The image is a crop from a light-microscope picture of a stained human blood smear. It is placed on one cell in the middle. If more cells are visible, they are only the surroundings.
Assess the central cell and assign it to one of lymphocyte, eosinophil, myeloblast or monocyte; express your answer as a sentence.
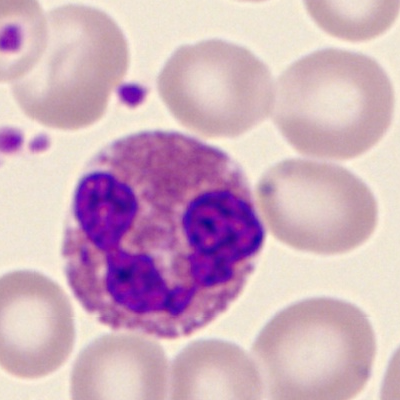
The centrally positioned cell in the crop represents an eosinophil.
